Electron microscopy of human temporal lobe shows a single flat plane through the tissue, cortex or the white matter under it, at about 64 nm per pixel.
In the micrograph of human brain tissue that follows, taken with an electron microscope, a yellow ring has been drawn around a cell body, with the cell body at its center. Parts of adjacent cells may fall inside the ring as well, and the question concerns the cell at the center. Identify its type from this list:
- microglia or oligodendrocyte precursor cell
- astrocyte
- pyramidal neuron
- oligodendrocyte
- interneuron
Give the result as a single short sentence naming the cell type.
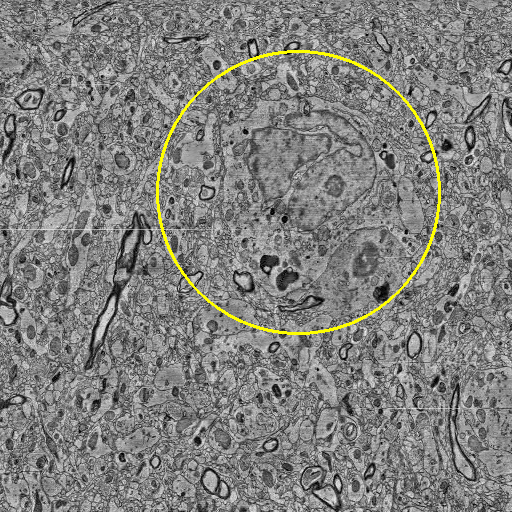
The ring is centered on an interneuron.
